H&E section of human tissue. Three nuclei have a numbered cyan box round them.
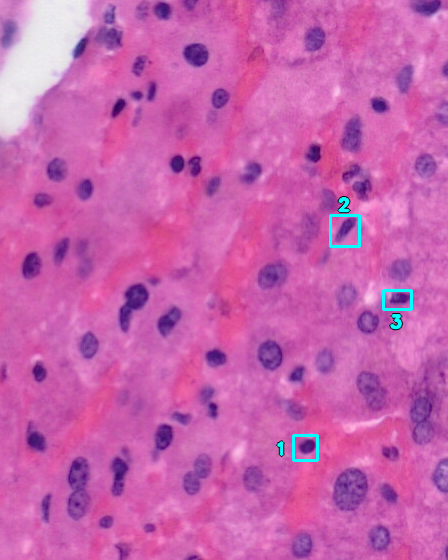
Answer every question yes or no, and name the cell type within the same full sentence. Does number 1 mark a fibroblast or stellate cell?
No, calling cell 1 a fibroblast or stellate cell is a mistake; it is a lymphocyte.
